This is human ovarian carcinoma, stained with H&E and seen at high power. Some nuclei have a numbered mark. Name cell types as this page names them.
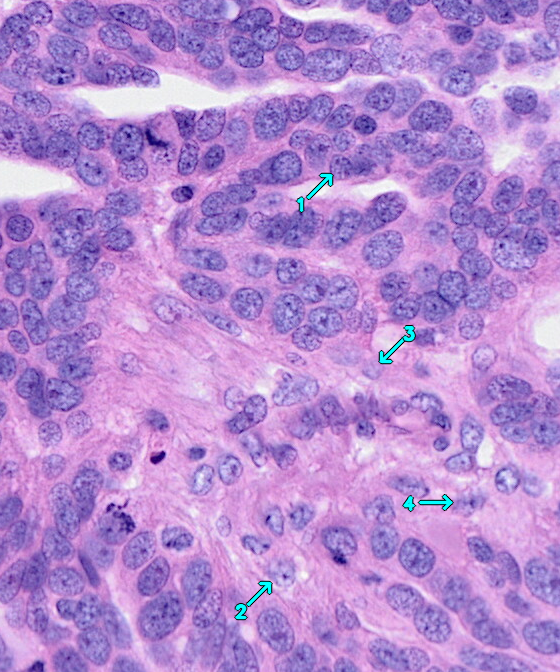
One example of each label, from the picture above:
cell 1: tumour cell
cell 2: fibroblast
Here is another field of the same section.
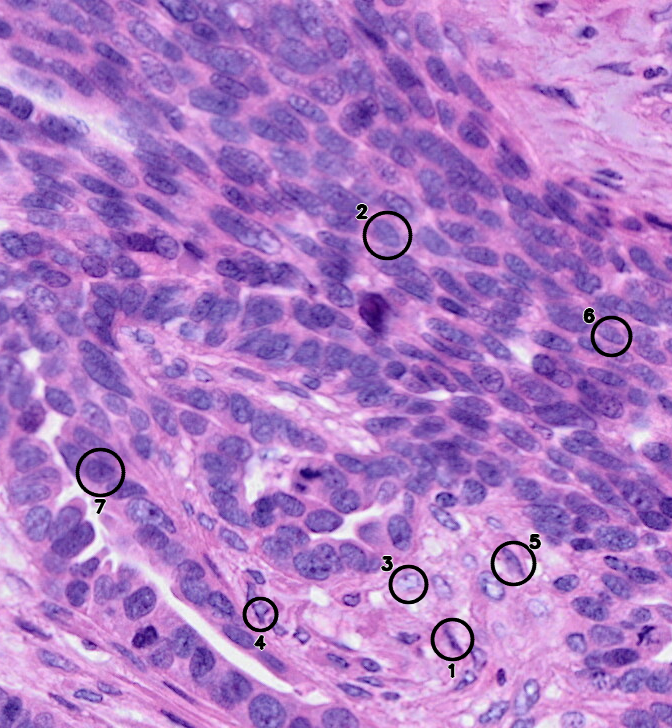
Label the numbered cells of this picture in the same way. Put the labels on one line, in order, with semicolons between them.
fibroblast; tumour cell; fibroblast; fibroblast; fibroblast; tumour cell; tumour cell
